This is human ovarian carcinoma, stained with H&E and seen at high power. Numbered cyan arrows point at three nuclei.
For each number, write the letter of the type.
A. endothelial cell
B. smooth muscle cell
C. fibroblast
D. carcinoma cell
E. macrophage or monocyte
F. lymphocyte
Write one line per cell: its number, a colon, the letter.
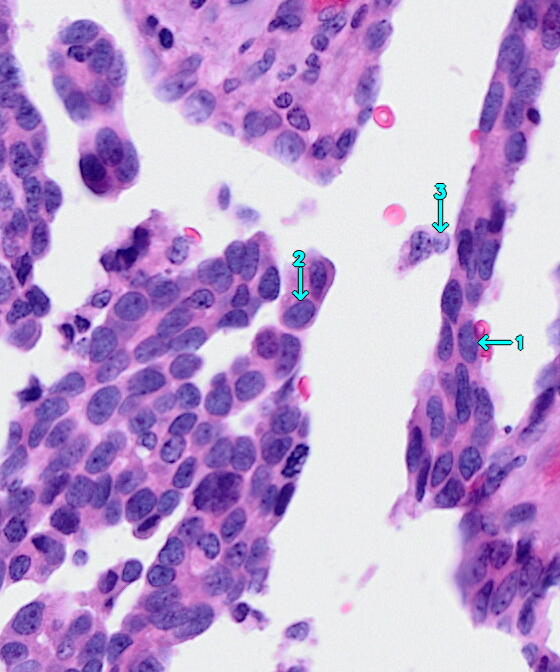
1: D
2: D
3: E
